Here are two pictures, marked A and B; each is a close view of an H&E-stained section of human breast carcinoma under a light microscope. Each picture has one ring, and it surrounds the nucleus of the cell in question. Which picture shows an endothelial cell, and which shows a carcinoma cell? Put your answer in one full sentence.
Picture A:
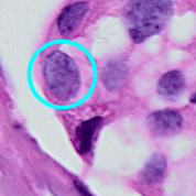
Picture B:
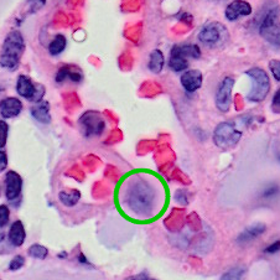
In picture A the cell is a carcinoma cell; in picture B, an endothelial cell.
